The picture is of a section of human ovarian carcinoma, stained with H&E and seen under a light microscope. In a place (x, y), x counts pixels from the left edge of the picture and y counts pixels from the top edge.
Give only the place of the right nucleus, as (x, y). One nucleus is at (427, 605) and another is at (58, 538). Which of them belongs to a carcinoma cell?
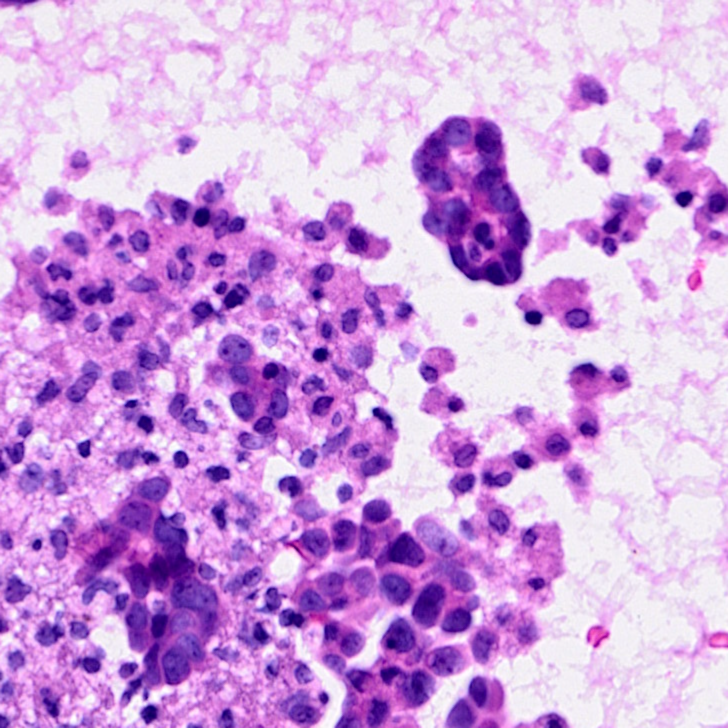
(427, 605)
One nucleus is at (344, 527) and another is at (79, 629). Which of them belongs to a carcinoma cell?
(344, 527)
